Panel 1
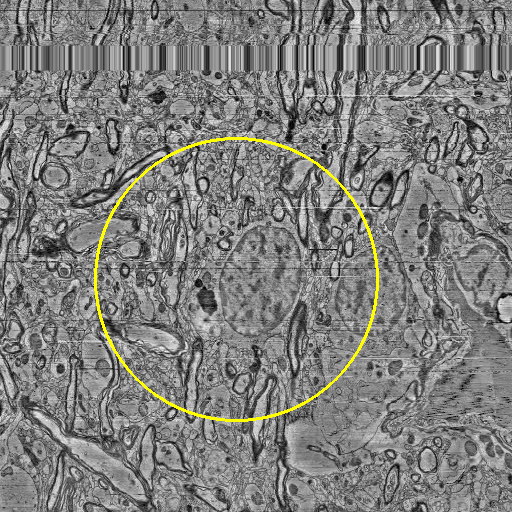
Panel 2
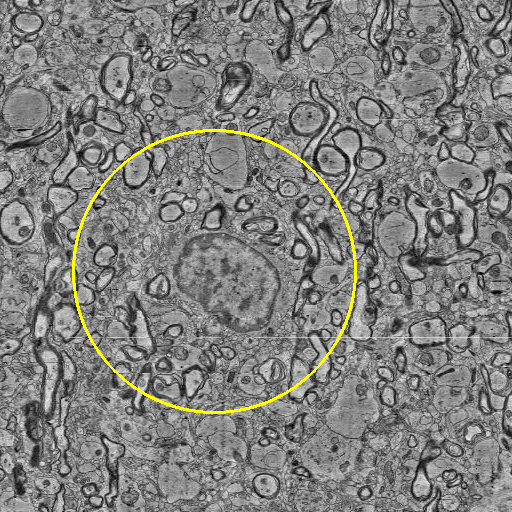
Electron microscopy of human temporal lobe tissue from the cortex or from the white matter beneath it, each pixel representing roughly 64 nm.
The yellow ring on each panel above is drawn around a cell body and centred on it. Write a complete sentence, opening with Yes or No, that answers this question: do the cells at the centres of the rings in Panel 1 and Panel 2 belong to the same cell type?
Yes, both cells belong to the same cell type.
